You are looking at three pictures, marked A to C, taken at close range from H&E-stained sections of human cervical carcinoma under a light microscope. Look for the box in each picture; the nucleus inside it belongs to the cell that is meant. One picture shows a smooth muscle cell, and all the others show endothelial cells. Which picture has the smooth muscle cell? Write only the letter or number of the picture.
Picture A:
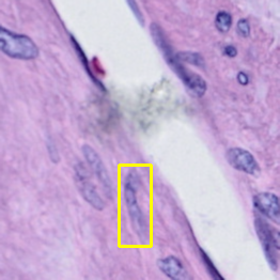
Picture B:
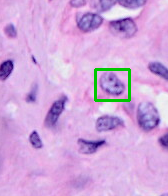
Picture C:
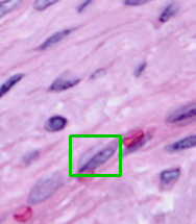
A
